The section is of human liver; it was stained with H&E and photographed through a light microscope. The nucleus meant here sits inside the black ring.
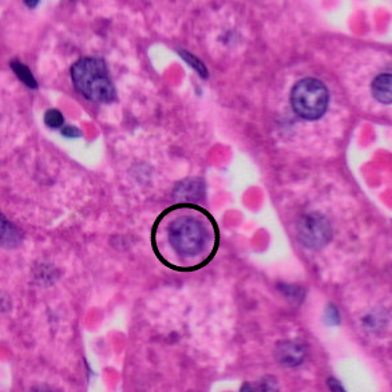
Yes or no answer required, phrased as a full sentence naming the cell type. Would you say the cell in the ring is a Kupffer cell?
No, mark the cell in the ring as a hepatocyte, not as a Kupffer cell.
